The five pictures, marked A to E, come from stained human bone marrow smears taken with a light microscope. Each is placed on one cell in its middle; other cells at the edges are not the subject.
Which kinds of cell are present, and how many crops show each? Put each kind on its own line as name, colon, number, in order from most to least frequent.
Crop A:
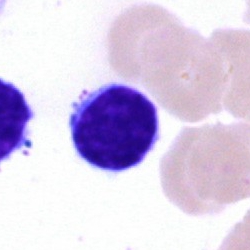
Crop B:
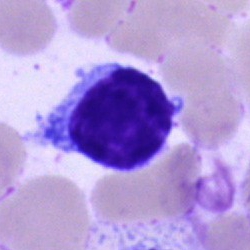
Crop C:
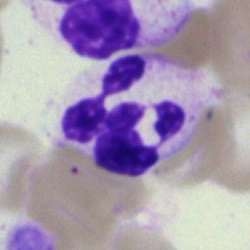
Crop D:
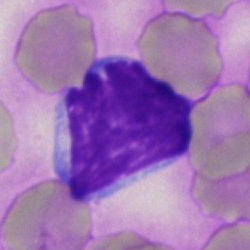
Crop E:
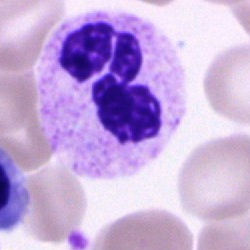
lymphocyte: 3
segmented neutrophil: 2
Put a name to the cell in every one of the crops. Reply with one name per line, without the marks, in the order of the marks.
lymphocyte
lymphocyte
segmented neutrophil
lymphocyte
segmented neutrophil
